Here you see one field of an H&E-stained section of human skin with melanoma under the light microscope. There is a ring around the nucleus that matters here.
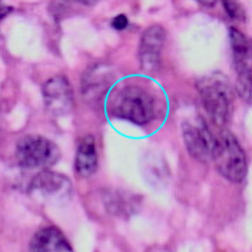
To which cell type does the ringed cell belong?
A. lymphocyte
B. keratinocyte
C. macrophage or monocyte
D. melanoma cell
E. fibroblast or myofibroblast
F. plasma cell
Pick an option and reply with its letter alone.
D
